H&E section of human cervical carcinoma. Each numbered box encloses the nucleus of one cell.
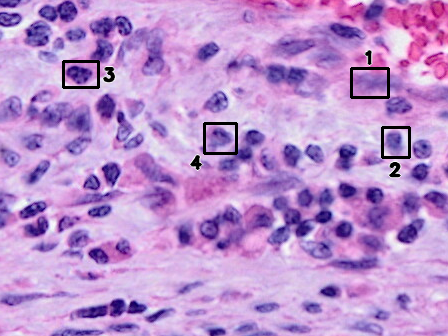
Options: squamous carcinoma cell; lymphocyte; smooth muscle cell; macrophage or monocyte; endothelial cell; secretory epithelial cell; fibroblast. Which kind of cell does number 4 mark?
lymphocyte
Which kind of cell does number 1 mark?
endothelial cell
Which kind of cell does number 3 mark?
lymphocyte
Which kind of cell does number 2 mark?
lymphocyte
